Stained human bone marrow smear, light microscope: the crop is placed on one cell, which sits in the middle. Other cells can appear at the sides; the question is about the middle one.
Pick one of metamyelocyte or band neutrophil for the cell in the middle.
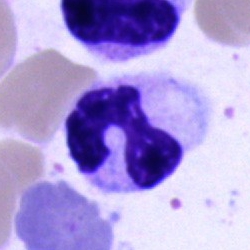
band neutrophil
